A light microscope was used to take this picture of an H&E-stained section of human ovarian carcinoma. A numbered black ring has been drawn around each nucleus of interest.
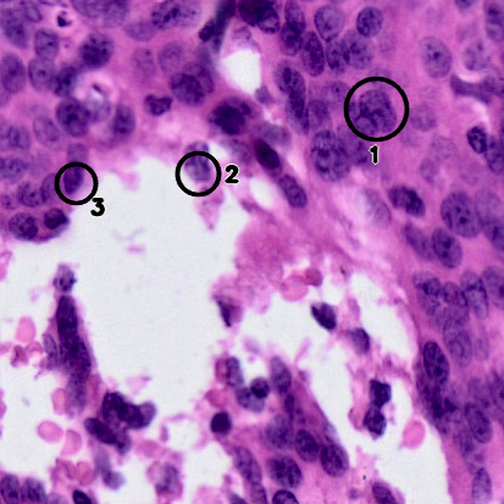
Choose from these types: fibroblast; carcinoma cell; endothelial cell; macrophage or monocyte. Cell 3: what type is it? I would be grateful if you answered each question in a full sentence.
Numbered cell 3 is a carcinoma cell in this tissue section.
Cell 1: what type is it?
Belonging to a carcinoma cell is the nucleus that carries the number 1.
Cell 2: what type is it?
Here, the cell given the number 2 is a macrophage or monocyte.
